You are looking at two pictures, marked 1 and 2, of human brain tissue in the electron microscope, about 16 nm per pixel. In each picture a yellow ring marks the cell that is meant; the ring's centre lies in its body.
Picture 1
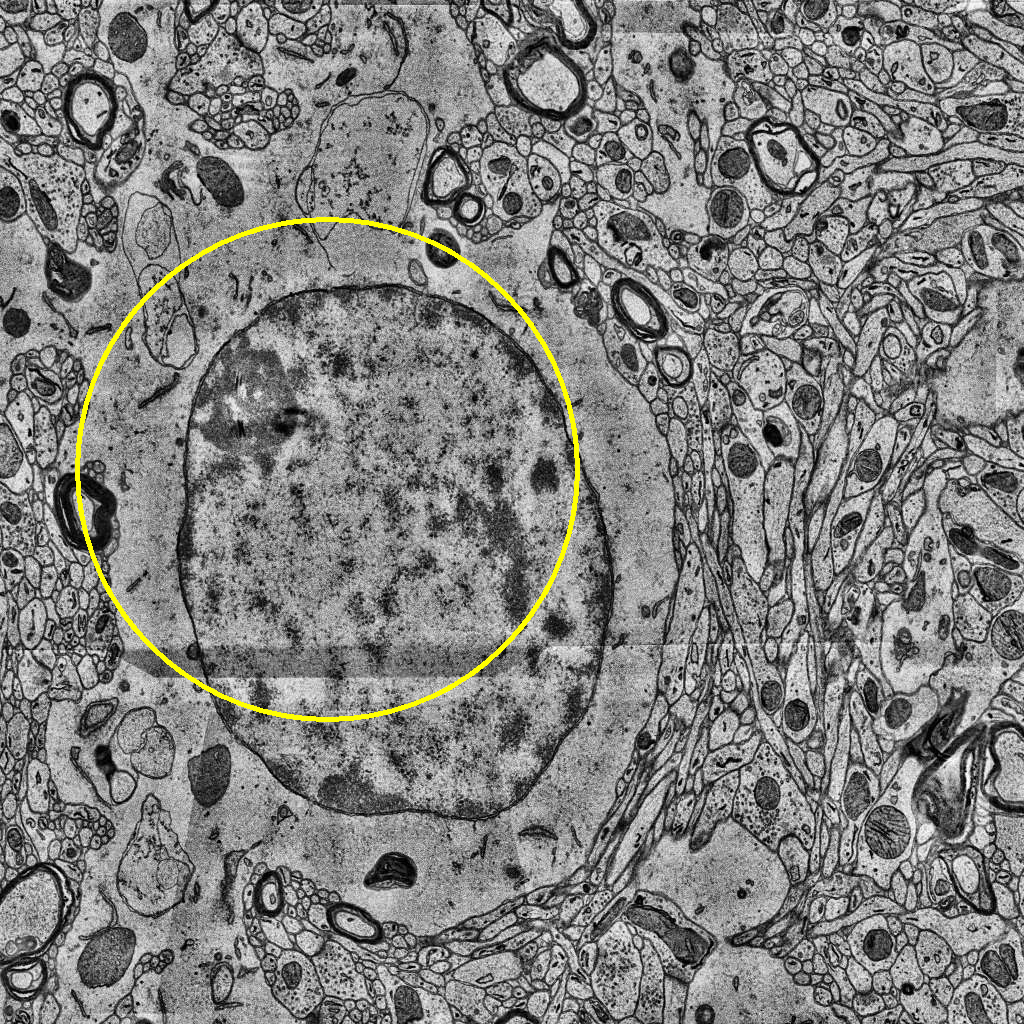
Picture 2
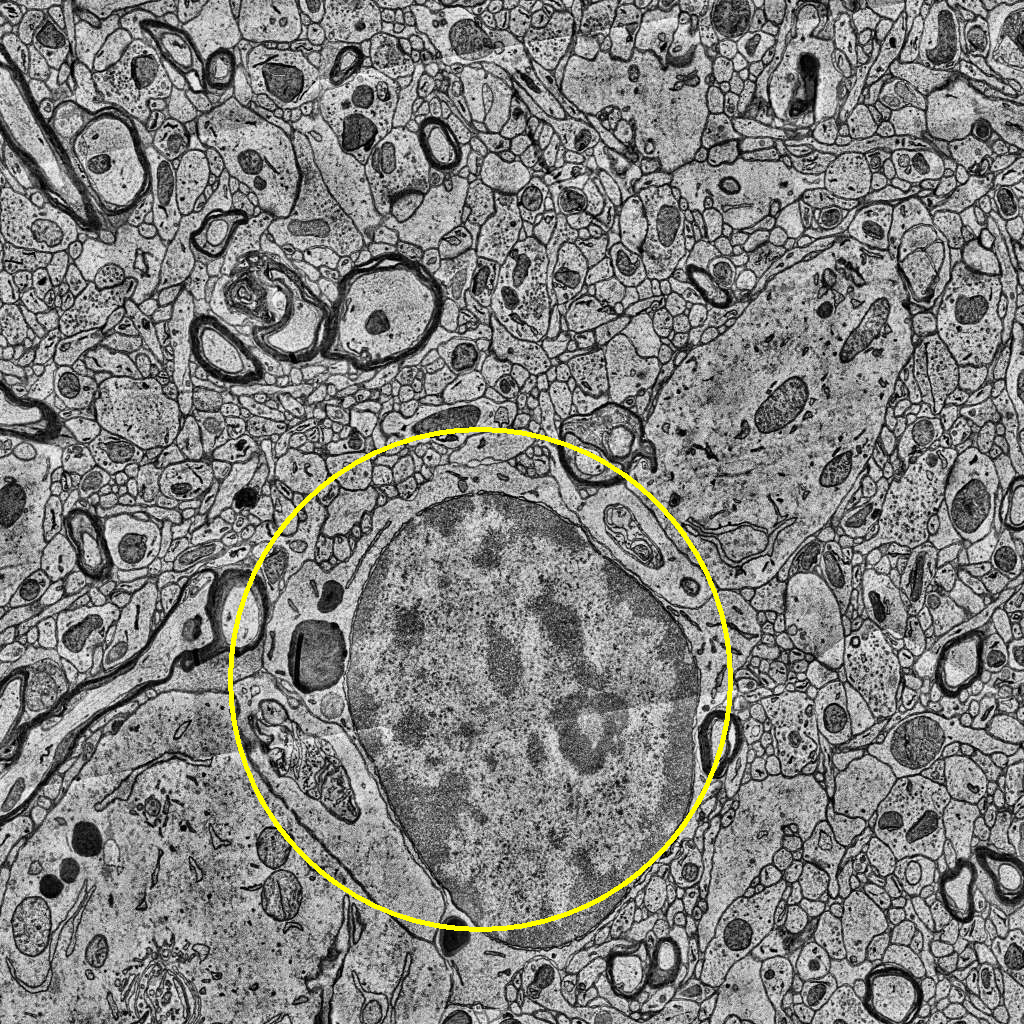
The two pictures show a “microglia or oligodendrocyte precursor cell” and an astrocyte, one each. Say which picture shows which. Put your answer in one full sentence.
The cell in picture 1 is an astrocyte, and the one in picture 2 is a “microglia or oligodendrocyte precursor cell”.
